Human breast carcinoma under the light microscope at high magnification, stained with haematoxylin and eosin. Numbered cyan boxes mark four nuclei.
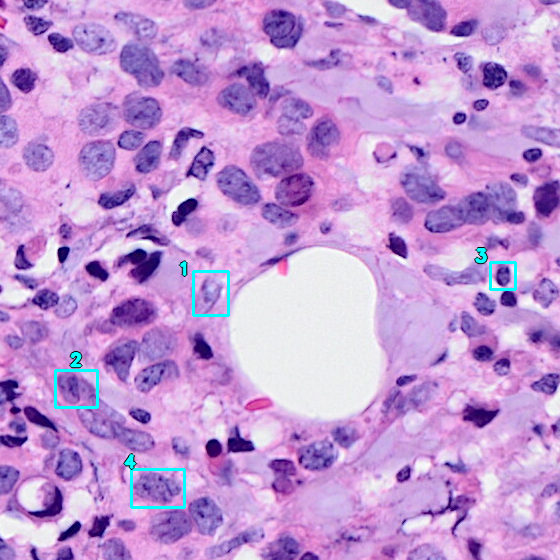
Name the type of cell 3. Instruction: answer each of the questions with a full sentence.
The cell referenced by the number 3 is a lymphocyte in this field.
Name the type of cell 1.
The cell pointed out as number 1 is a fibroblast.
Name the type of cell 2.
As for number 2, that cell is an endothelial cell.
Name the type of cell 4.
The cell assigned the number 4 is a carcinoma cell.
